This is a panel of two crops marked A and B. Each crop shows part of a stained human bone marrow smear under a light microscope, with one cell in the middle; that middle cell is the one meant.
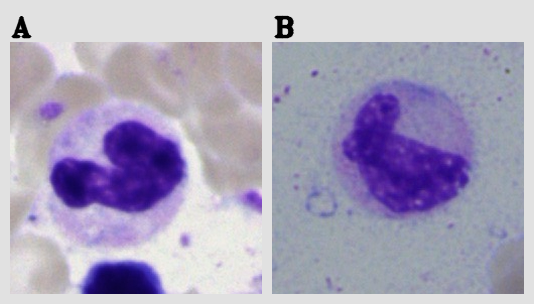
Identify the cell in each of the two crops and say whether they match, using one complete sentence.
Yes, the two crops share the same answer, band neutrophils.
